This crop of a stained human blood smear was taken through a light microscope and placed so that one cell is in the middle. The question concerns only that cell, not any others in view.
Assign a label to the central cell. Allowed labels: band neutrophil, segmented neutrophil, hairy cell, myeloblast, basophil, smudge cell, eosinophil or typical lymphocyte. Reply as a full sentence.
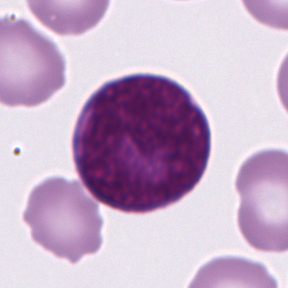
In the crop, the cell of interest at the centre is a myeloblast.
